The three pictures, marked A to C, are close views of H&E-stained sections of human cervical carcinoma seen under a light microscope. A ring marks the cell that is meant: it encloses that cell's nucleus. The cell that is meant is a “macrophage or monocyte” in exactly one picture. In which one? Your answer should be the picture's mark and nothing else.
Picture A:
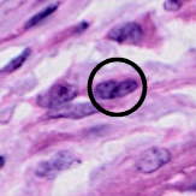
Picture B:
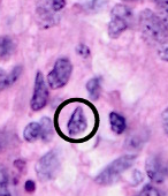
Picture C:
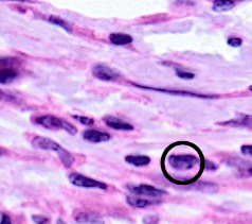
A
